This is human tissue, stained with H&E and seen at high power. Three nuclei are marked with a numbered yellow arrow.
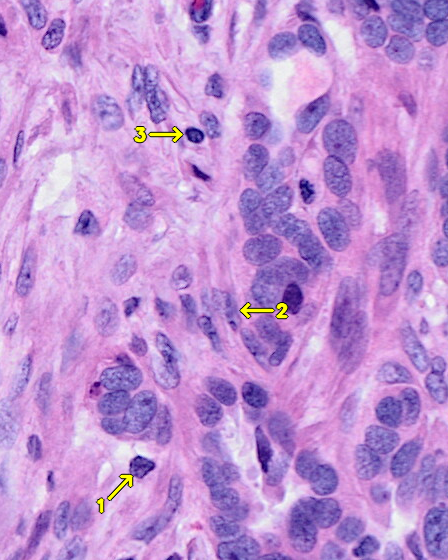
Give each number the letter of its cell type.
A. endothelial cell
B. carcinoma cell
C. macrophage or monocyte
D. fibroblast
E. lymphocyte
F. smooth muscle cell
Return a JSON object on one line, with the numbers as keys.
{"1": "E", "2": "D", "3": "E"}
